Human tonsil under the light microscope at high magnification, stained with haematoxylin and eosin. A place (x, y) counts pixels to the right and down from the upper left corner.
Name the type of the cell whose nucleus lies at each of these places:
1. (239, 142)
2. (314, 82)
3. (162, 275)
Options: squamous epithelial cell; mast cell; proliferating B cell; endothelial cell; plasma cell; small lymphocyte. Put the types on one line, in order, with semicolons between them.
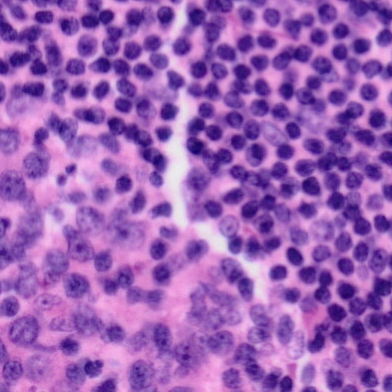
small lymphocyte; small lymphocyte; proliferating B cell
